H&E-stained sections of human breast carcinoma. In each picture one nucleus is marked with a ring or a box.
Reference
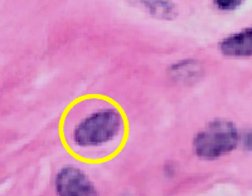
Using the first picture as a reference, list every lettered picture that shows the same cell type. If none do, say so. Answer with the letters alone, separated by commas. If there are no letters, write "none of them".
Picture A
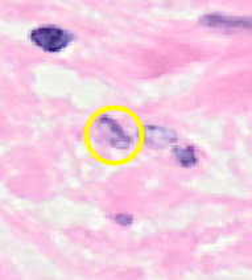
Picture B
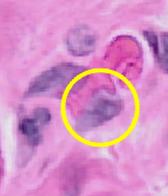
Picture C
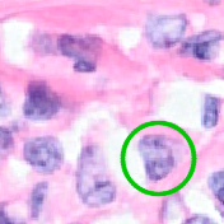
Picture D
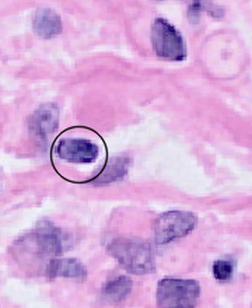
D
